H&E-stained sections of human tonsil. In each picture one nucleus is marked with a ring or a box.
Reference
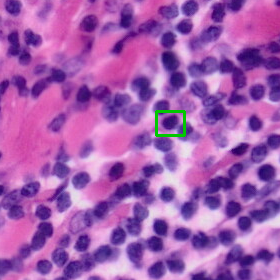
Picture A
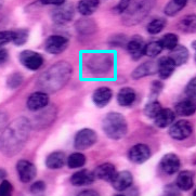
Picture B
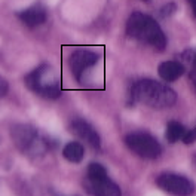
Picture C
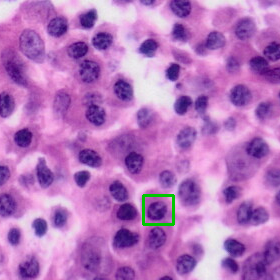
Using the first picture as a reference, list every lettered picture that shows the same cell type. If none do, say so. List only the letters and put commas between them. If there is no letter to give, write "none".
none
